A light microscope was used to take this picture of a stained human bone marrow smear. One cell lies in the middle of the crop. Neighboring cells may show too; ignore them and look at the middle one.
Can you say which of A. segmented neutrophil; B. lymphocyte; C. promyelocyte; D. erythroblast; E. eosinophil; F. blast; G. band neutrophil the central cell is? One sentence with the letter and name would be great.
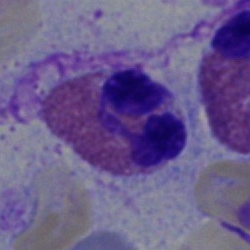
This one is option E, since the cell at the center is an eosinophil.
